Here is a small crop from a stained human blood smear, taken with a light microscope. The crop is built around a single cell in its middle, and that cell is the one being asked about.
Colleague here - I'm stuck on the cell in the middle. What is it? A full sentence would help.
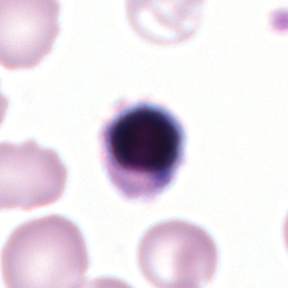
The cell at the centre of the field is a normoblast.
